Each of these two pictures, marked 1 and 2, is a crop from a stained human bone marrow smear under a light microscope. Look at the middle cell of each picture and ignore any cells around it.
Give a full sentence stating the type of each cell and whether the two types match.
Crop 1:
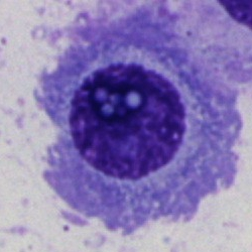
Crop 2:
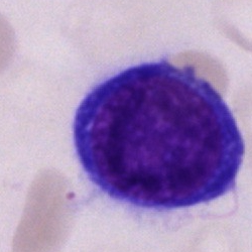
No, it is crop 1 that shows a plasma cell, and crop 2 shows a proerythroblast.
